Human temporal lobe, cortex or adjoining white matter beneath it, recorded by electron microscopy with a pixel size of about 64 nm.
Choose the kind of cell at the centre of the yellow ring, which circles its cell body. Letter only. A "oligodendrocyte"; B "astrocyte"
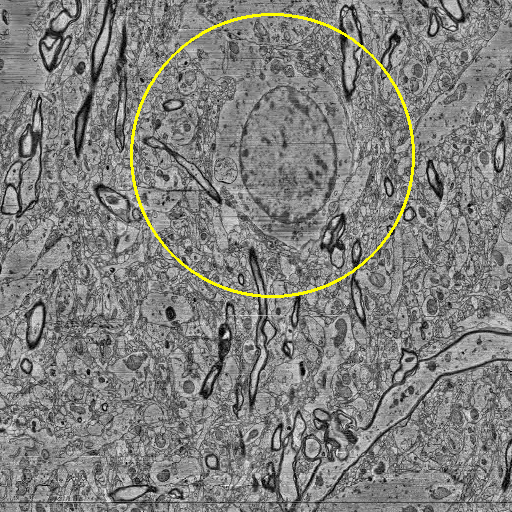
B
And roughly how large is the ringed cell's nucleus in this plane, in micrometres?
About 9 by 6 micrometers for the nucleus, in this plane.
